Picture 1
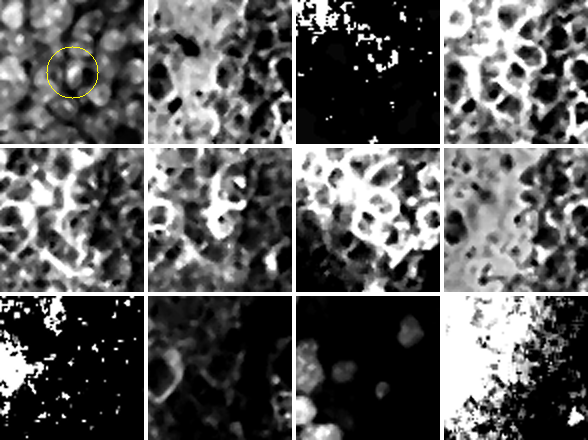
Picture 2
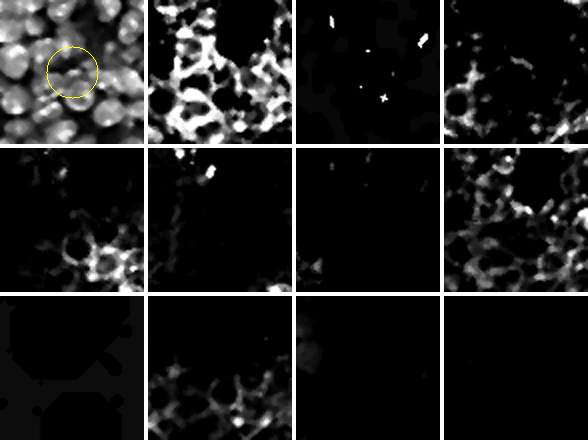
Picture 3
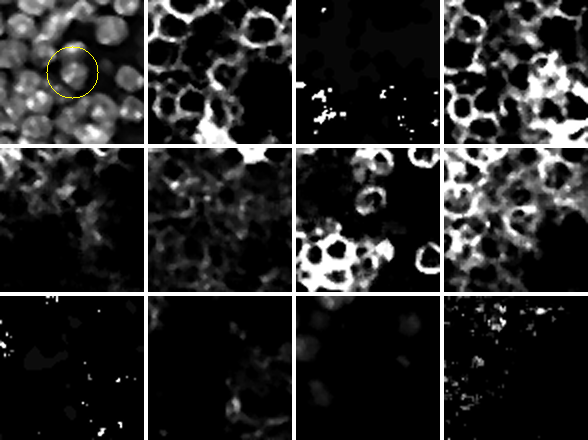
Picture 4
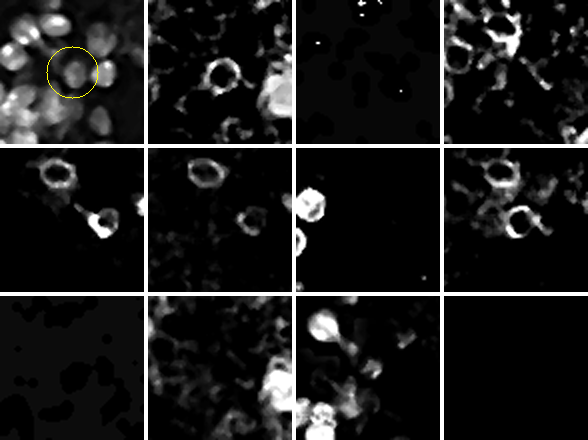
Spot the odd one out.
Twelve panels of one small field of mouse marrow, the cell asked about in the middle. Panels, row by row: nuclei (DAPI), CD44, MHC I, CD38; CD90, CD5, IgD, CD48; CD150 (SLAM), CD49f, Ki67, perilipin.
Picture 2 (a neutrophil among monocytes).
